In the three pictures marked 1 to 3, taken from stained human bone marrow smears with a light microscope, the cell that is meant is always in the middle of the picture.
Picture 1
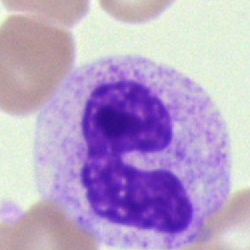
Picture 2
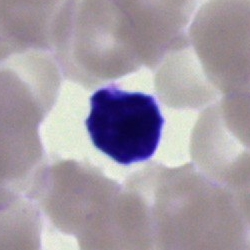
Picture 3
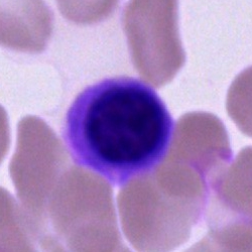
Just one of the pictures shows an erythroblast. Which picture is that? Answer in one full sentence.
Picture 3 shows the erythroblast.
